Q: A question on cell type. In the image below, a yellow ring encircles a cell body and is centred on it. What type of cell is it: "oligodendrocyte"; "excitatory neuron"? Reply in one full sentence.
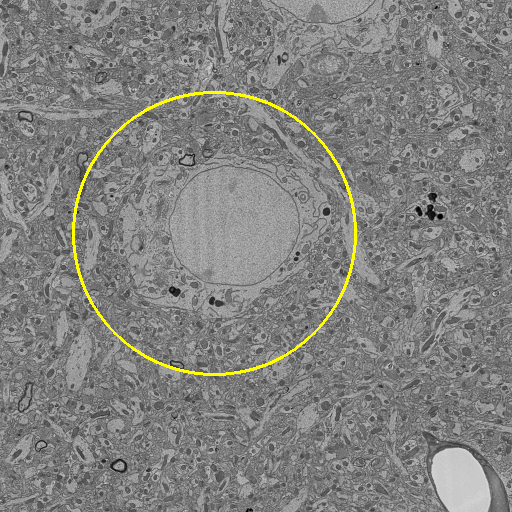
It is an excitatory neuron whose cell body sits at the centre of the yellow ring in the image.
